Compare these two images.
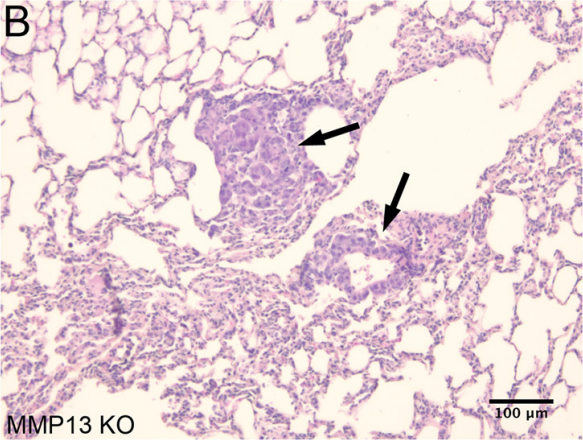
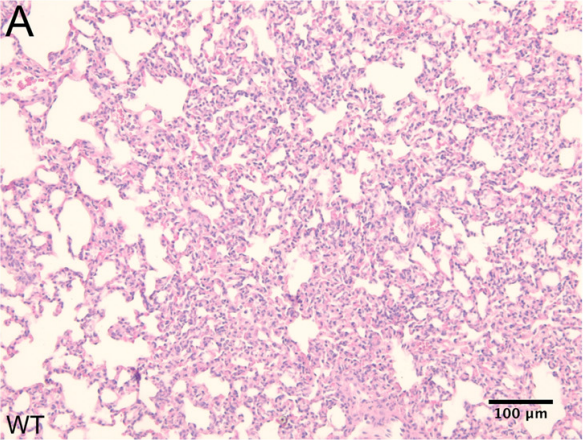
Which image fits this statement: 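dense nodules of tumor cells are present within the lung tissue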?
The first image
